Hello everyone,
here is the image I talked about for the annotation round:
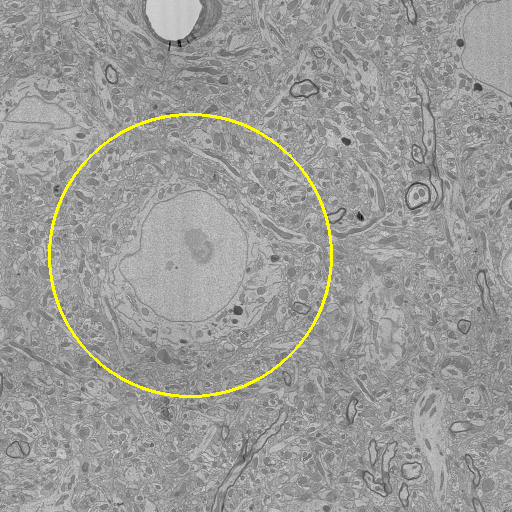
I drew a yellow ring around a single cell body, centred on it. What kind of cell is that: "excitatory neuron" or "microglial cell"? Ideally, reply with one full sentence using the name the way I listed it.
The cell your yellow ring is centred on is an excitatory neuron, going by your list.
